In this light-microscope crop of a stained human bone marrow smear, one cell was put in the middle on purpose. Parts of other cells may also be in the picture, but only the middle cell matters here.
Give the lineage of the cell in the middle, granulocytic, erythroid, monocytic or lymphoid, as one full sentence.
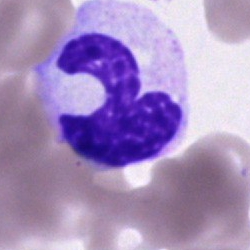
The cell at the middle of the crop is designated as granulocytic in lineage.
